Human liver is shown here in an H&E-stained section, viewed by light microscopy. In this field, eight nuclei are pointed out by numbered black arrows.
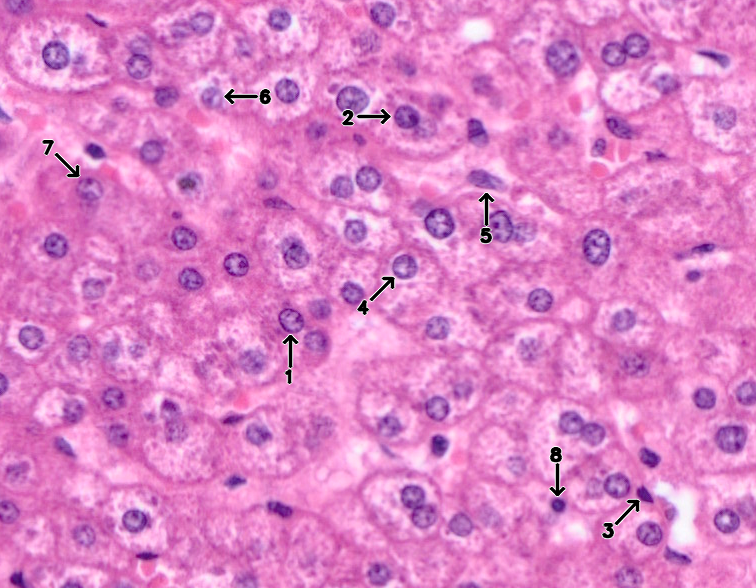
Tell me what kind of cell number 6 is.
hepatocyte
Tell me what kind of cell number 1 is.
hepatocyte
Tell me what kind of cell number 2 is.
hepatocyte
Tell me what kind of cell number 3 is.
fibroblast or stellate cell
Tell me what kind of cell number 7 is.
hepatocyte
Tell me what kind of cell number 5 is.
Kupffer cell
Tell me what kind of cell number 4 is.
hepatocyte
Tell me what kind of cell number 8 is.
lymphocyte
